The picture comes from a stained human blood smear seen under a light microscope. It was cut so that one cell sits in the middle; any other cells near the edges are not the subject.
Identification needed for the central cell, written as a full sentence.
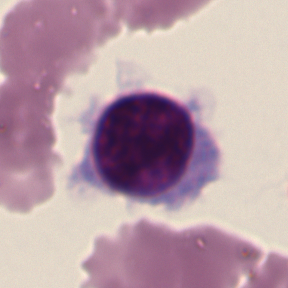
At the middle of the frame sits a hairy cell.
